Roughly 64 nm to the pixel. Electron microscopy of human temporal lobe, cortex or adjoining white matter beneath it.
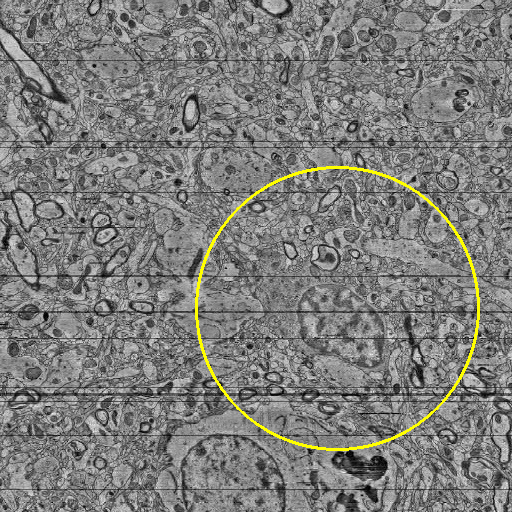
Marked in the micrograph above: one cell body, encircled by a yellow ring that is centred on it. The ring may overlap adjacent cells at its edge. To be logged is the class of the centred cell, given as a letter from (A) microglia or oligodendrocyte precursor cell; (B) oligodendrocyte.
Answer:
B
